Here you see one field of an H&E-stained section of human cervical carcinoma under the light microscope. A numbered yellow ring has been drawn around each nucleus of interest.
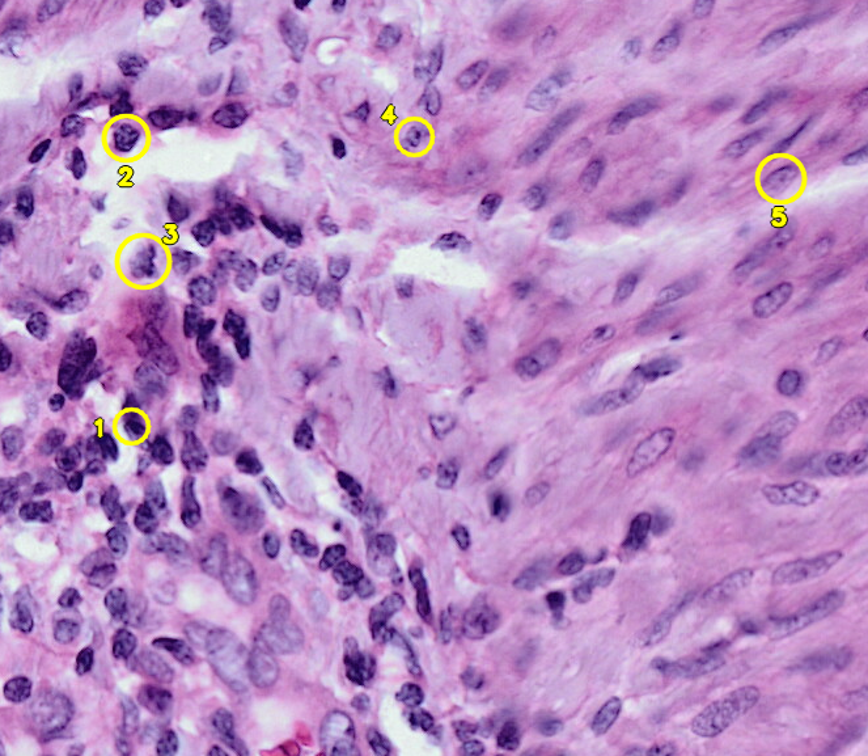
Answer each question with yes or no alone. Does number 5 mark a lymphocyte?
no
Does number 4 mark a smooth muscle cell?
yes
